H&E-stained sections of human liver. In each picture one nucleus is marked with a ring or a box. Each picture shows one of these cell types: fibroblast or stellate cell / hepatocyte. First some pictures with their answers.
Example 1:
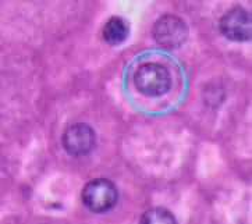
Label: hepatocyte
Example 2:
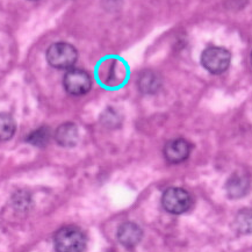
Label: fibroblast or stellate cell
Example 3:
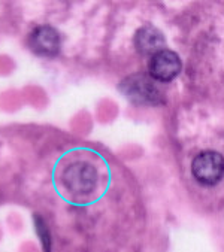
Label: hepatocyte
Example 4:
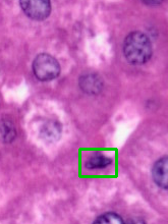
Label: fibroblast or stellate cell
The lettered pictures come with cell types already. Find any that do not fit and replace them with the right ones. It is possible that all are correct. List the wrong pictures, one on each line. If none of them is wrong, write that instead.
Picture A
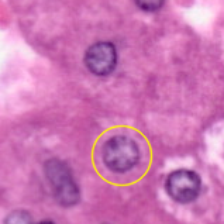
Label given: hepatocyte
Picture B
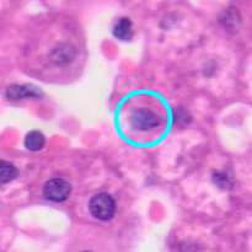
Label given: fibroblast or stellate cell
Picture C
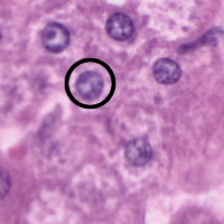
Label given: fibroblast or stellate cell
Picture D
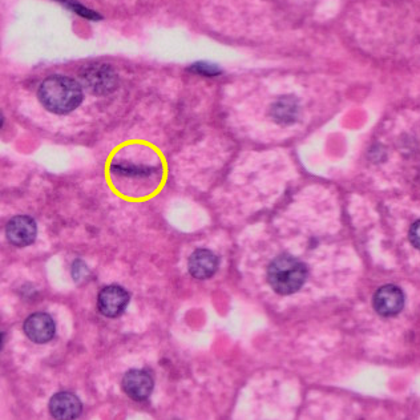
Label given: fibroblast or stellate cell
Wrong: C (fibroblast or stellate cell); correct: hepatocyte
